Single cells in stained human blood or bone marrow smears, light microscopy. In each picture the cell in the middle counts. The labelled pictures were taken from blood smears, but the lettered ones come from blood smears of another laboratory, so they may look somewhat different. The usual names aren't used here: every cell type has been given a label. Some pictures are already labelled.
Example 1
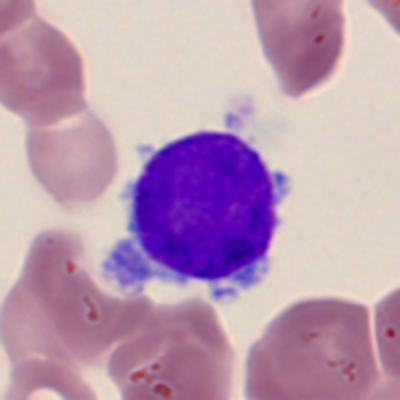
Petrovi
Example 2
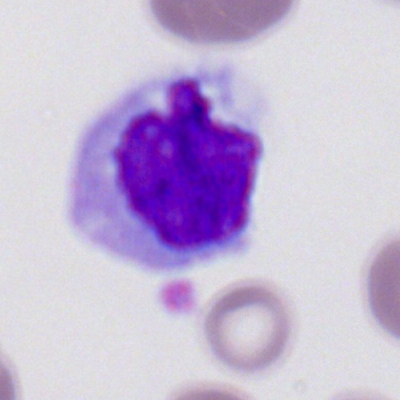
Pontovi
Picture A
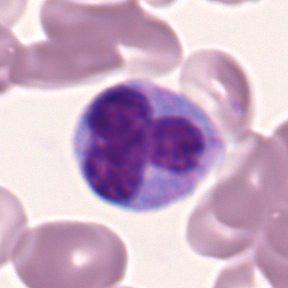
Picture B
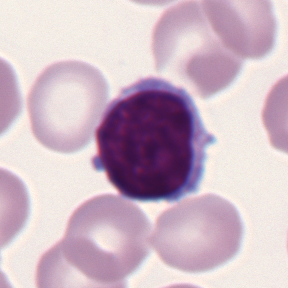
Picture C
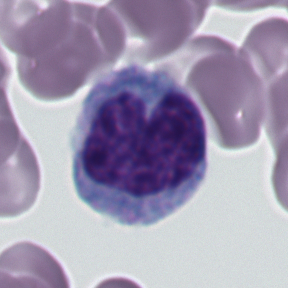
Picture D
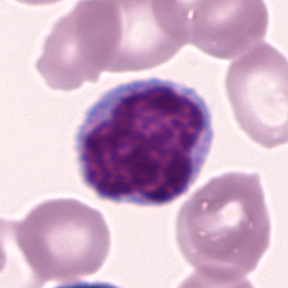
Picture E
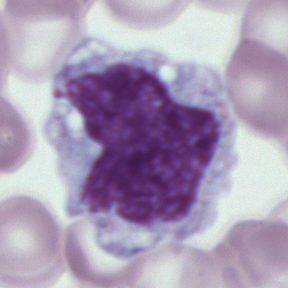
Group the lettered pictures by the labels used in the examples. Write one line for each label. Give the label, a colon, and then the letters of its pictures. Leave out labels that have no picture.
Petrovi: B, D
Pontovi: A, C, E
